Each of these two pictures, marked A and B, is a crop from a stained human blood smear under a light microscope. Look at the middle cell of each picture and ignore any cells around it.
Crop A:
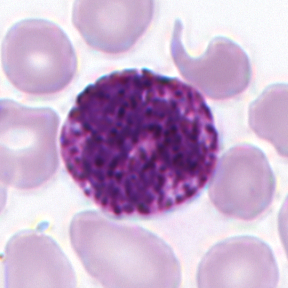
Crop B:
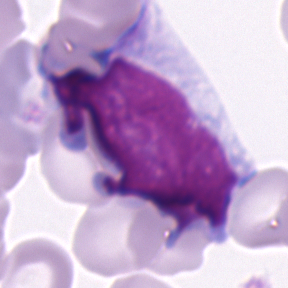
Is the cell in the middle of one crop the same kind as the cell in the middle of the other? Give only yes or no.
no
